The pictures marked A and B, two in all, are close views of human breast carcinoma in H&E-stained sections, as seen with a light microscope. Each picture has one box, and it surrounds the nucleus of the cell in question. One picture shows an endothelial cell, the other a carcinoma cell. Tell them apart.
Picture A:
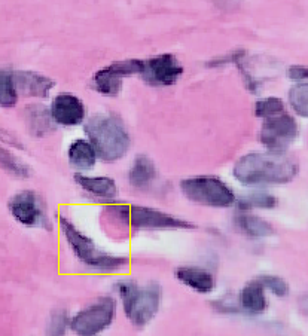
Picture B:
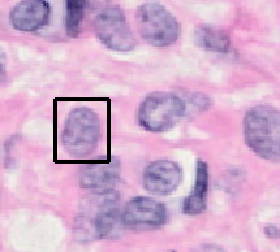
A: endothelial cell
B: carcinoma cell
